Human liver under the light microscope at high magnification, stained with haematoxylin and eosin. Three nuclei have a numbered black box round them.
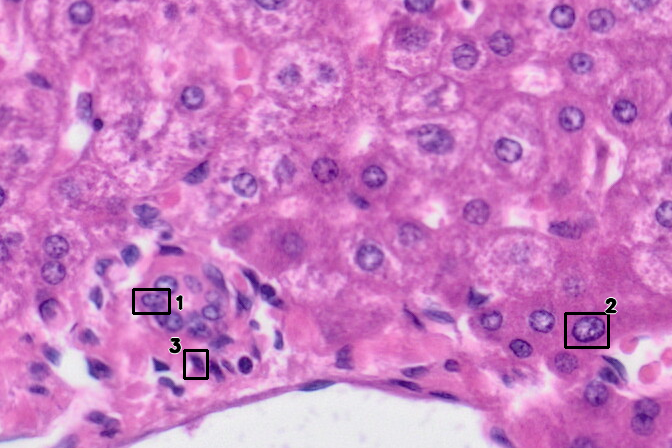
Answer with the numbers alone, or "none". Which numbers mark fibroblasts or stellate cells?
3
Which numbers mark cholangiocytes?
1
